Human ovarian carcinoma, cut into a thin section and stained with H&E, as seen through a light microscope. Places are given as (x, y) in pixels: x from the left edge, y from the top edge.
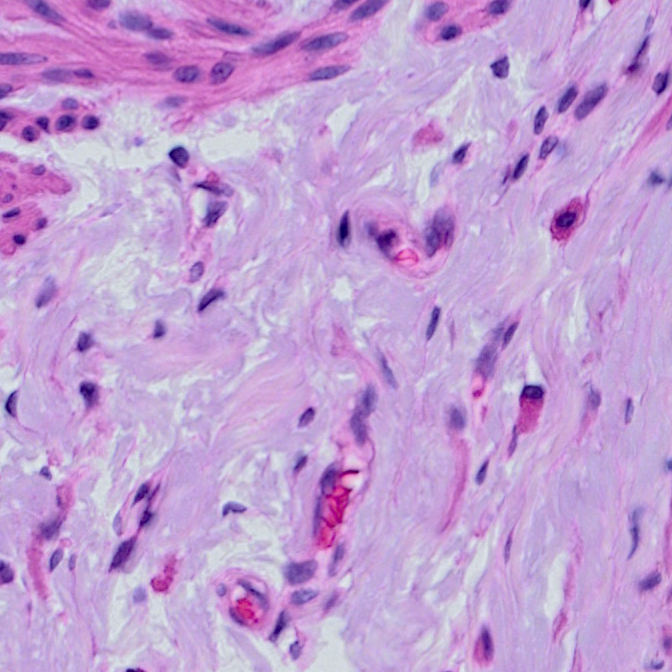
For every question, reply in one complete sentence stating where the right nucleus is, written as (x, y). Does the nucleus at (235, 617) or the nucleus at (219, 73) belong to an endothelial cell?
Of the two nuclei, the nucleus of an endothelial cell is at (235, 617).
